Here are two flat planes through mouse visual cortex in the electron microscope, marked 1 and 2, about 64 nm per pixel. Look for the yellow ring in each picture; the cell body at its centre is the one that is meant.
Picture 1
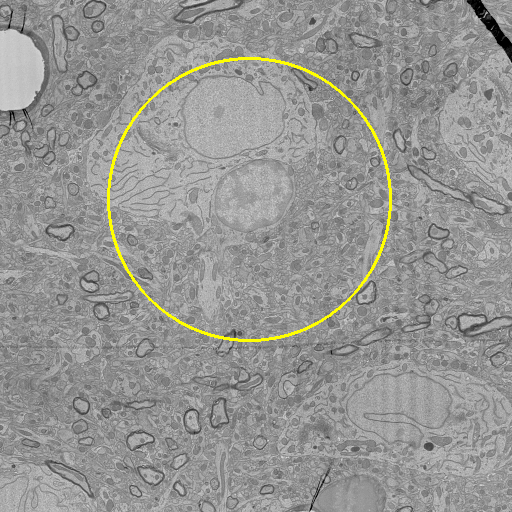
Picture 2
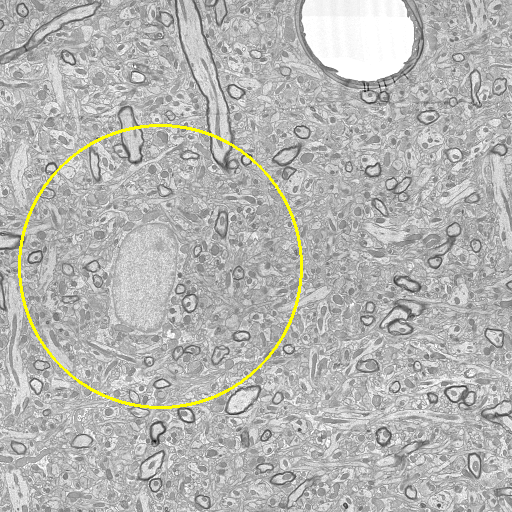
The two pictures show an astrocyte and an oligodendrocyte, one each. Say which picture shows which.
It is picture 1 that shows an oligodendrocyte, and picture 2 that shows an astrocyte.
